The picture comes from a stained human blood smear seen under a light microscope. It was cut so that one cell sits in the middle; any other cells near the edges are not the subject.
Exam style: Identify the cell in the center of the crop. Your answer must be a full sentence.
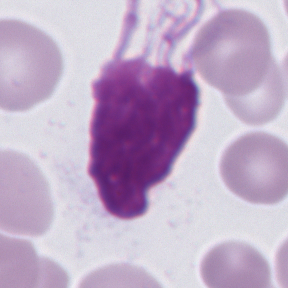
This crop has a smudge cell at its centre.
